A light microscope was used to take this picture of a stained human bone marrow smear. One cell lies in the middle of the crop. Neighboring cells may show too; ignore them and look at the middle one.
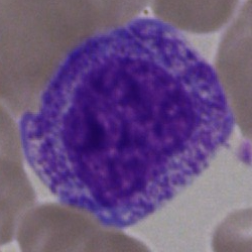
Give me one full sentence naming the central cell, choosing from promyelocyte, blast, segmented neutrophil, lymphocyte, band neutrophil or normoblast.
The cell occupying the middle of the crop is a promyelocyte.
